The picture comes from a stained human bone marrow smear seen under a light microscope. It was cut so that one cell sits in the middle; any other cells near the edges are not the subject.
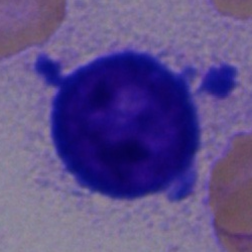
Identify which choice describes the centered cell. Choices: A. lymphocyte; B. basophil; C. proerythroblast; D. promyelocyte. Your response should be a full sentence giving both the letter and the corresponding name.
Correctly, option C names the cell in the middle a proerythroblast.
